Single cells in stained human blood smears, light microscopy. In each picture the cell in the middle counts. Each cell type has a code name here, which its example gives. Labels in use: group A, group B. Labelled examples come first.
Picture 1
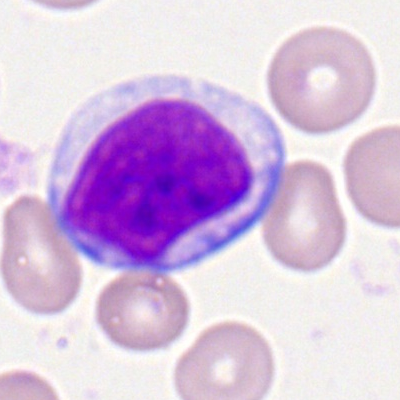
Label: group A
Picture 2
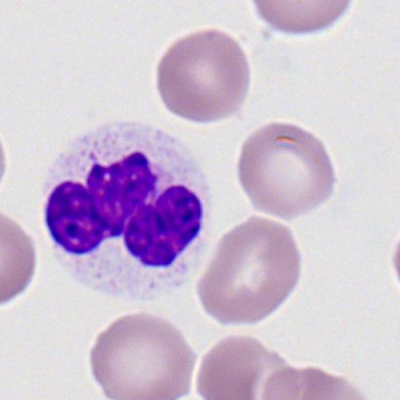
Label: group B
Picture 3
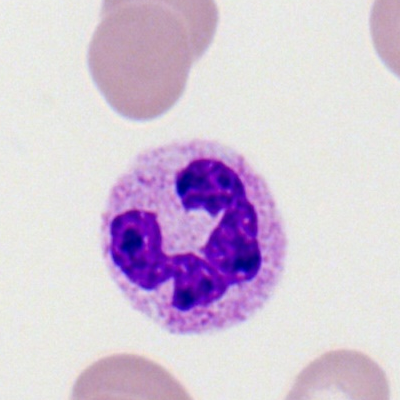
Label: group B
